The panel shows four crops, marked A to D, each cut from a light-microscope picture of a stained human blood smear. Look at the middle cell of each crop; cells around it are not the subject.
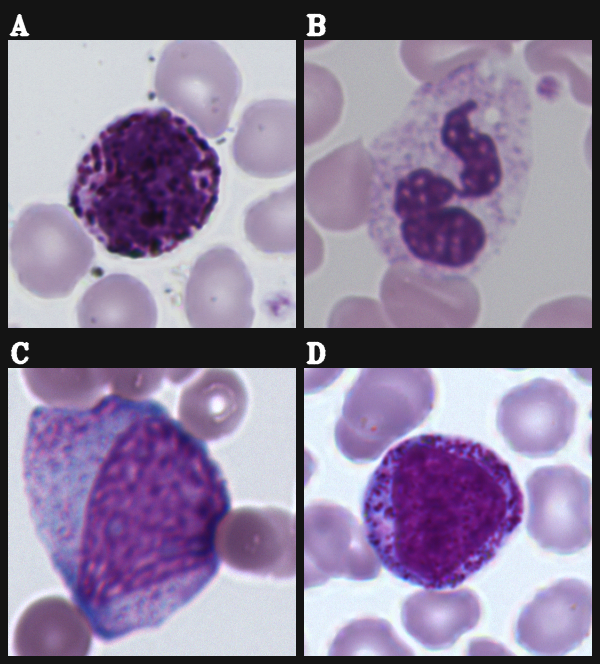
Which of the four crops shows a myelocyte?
D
